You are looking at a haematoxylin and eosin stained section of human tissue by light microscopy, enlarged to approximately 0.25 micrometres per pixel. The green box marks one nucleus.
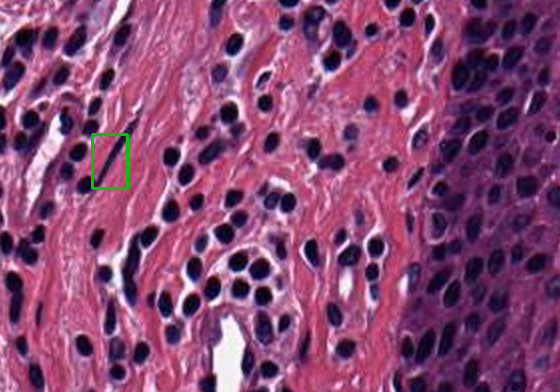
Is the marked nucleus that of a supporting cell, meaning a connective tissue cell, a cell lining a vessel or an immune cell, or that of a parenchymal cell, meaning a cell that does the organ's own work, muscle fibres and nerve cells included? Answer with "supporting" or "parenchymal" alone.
supporting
